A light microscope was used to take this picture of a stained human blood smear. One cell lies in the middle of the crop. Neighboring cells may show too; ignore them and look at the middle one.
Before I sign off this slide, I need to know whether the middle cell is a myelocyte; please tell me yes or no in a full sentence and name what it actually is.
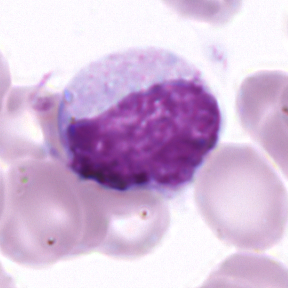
No, the cell centered in the crop is a metamyelocyte, not a myelocyte.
